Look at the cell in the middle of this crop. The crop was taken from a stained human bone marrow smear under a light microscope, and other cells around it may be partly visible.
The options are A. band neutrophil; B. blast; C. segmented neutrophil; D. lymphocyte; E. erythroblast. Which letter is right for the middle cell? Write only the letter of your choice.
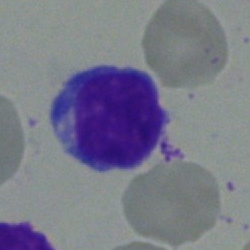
D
